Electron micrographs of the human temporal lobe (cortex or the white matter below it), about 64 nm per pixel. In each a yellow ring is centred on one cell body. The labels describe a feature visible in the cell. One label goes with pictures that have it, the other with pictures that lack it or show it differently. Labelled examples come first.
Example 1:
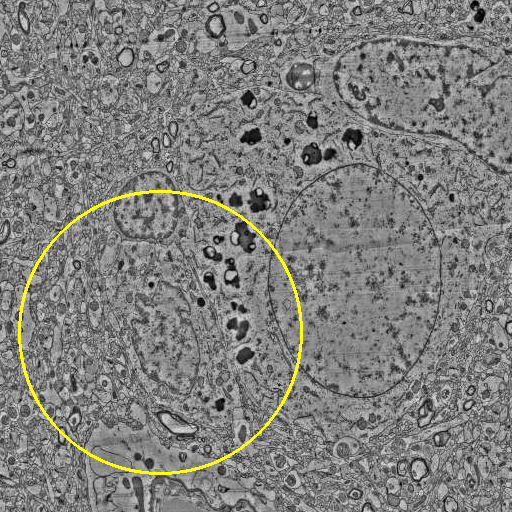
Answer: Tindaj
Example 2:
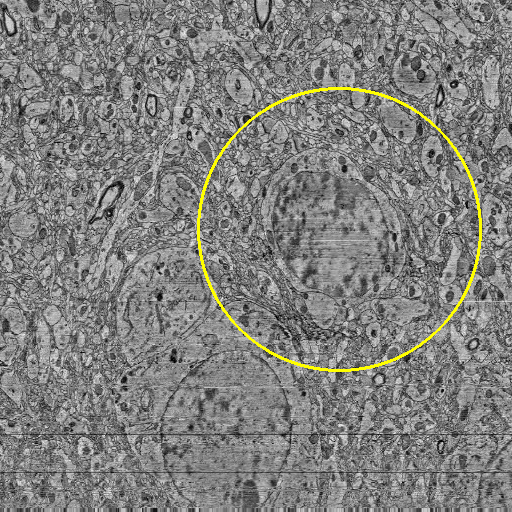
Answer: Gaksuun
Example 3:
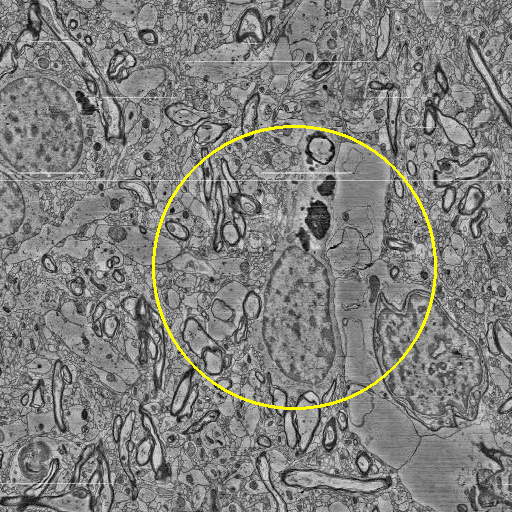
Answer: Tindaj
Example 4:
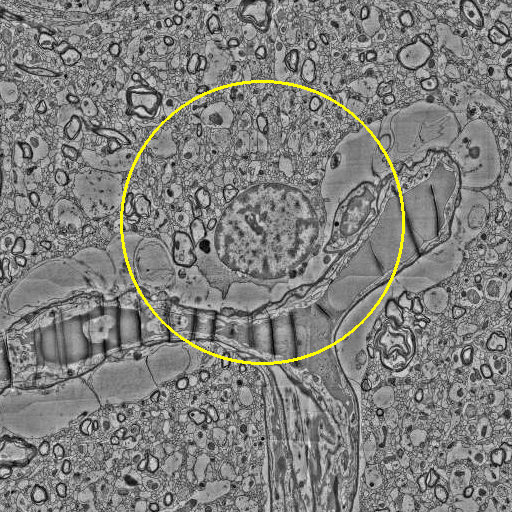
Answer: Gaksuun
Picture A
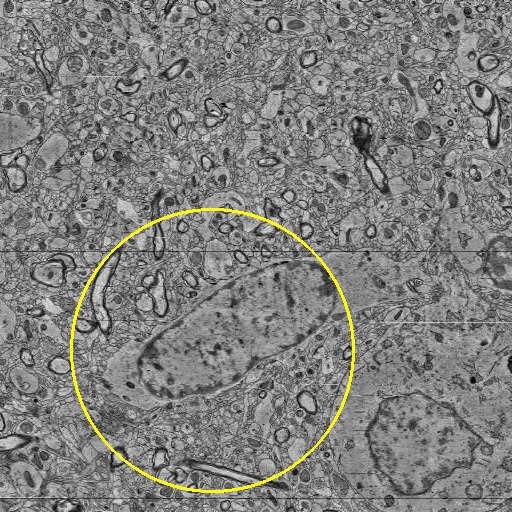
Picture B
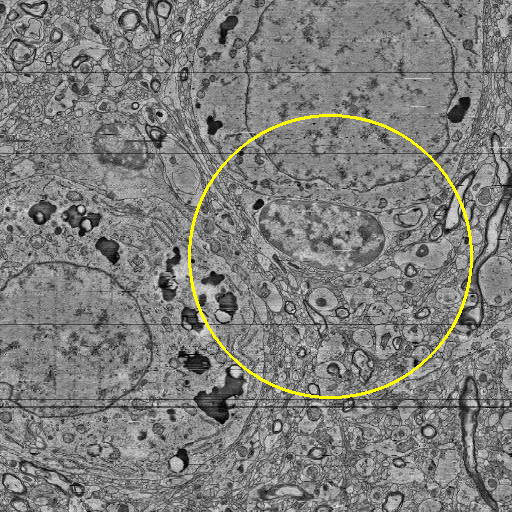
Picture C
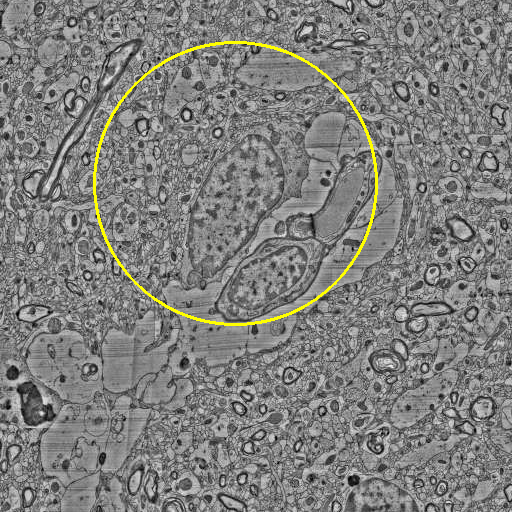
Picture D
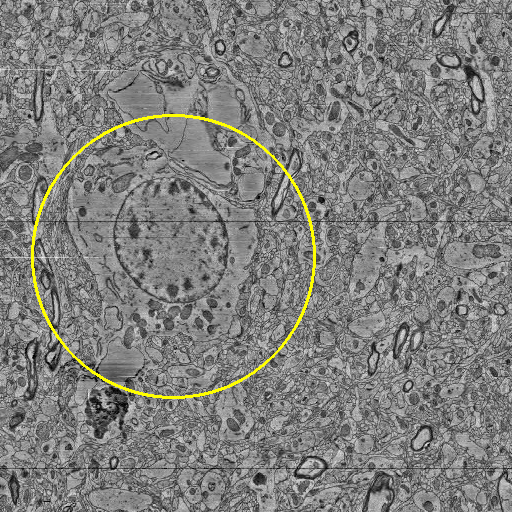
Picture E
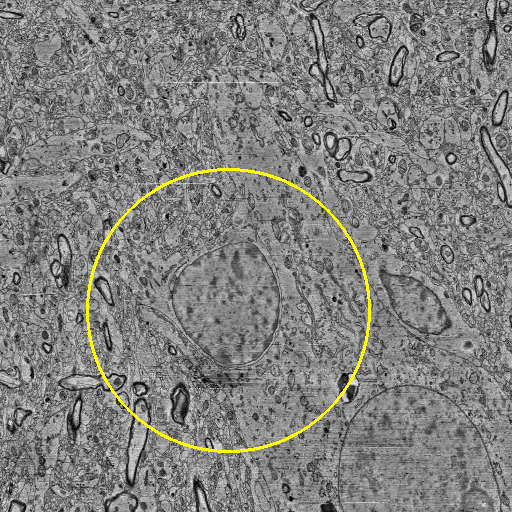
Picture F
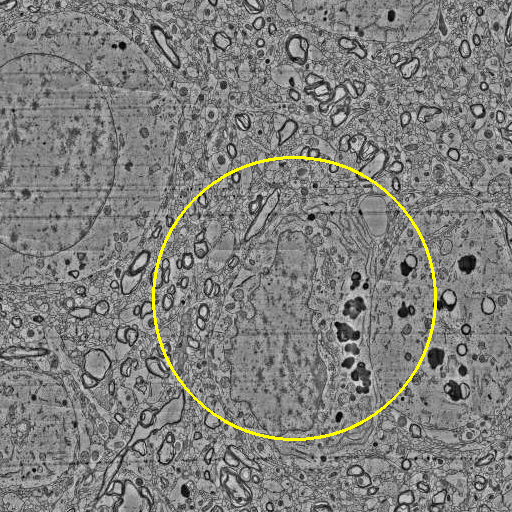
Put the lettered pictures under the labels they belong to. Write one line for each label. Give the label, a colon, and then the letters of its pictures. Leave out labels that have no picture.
Tindaj: A, B, C, F
Gaksuun: D, E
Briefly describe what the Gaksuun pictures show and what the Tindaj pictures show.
Gaksuun, round or nearly round nuclei; Tindaj, clearly elongated nuclei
